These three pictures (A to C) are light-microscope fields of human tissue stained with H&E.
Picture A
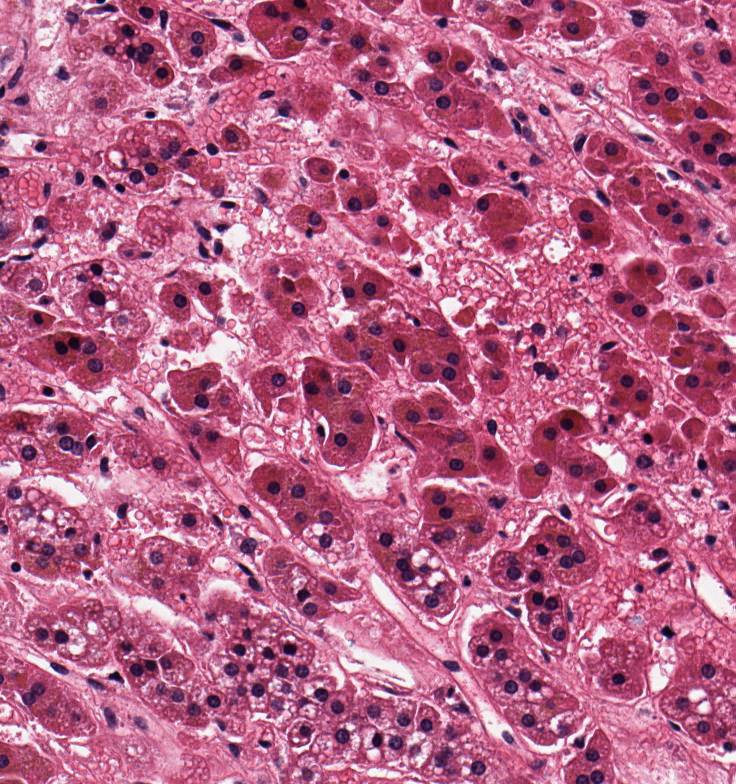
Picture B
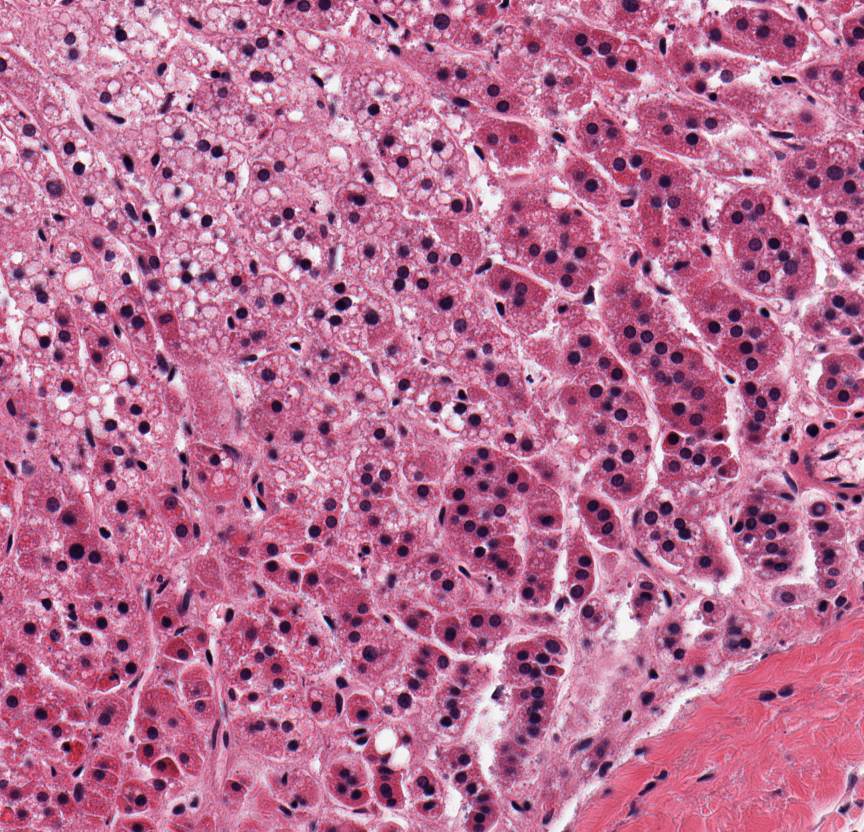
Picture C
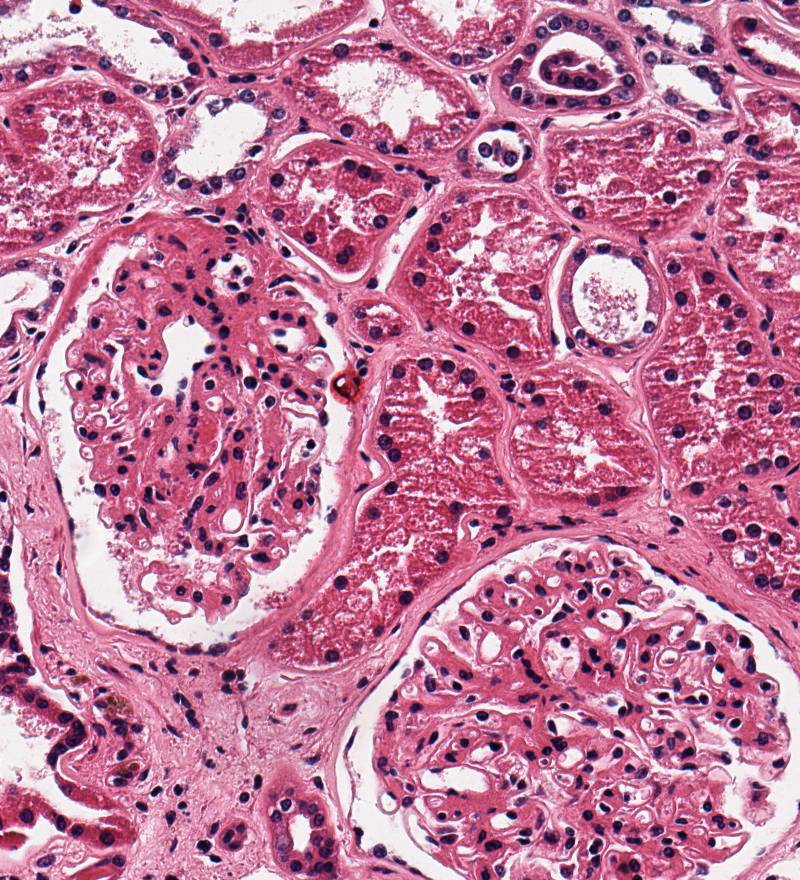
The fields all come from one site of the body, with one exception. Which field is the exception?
C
